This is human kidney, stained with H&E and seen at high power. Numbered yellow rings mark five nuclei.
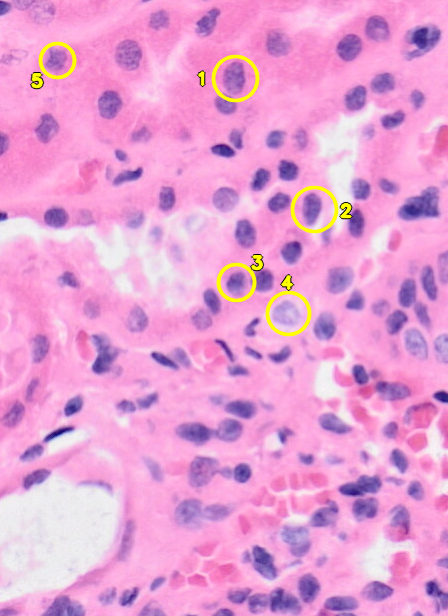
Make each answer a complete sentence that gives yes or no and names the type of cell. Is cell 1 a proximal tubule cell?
Yes, the cell bearing the number 1 is a proximal tubule cell.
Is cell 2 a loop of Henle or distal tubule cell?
Yes, the cell labelled with number 2 is a loop of Henle or distal tubule cell.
